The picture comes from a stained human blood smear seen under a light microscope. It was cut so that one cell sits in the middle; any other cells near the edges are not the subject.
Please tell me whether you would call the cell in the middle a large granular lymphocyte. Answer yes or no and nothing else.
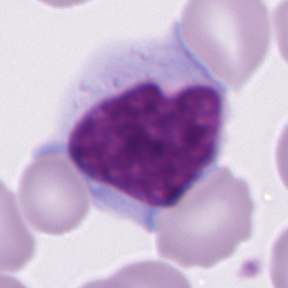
yes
